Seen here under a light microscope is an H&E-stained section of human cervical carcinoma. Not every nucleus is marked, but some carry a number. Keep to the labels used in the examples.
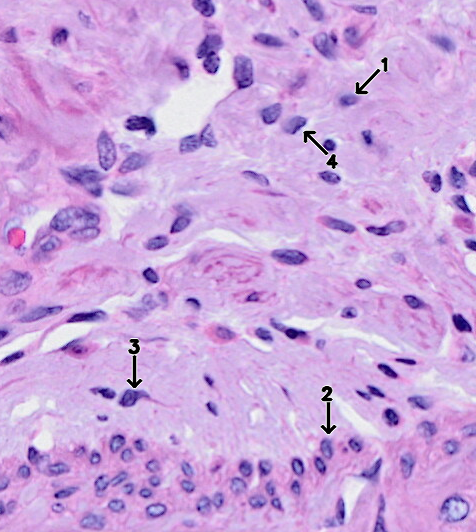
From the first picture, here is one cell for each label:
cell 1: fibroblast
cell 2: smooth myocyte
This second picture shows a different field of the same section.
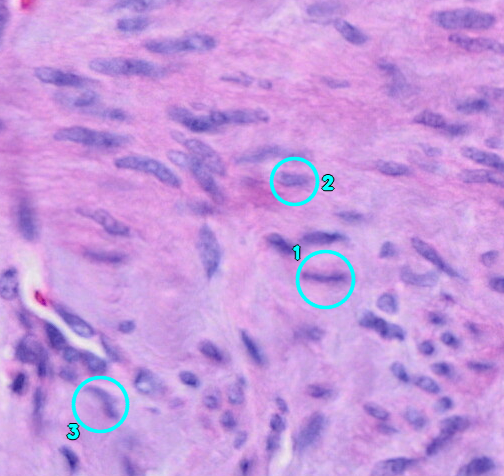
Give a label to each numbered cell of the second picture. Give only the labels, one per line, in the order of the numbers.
smooth myocyte
smooth myocyte
fibroblast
